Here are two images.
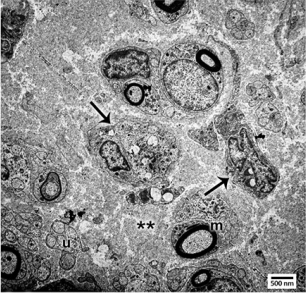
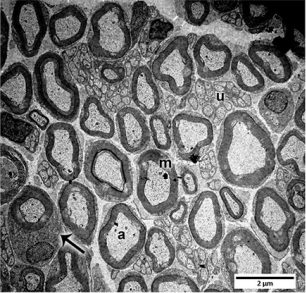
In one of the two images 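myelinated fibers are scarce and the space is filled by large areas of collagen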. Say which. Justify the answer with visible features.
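First image: only a few dark myelin rings lie within a wide pale fibrillar area. Second image: dark myelin rings are packed closely across the whole field.
Answer: the first image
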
